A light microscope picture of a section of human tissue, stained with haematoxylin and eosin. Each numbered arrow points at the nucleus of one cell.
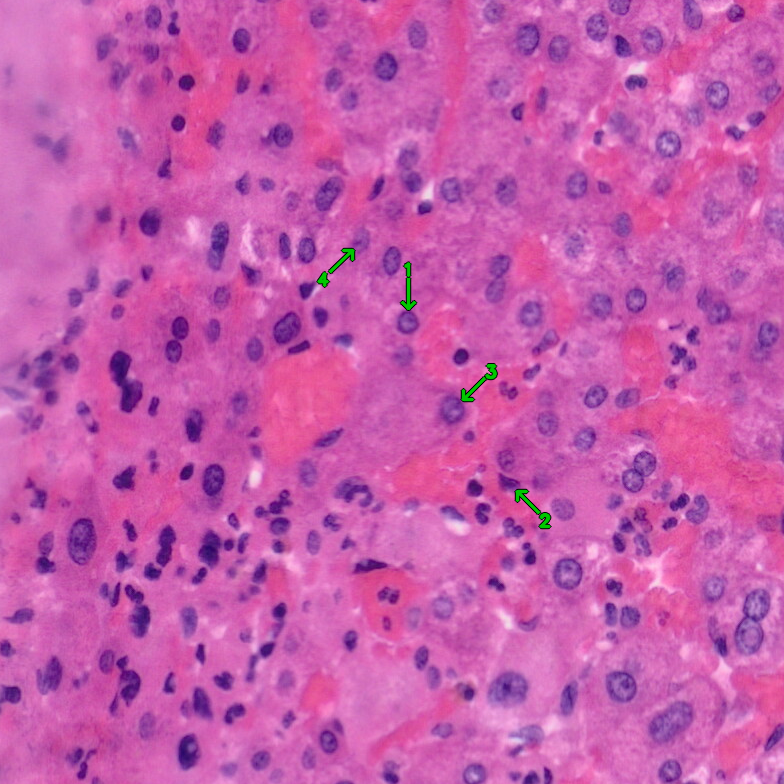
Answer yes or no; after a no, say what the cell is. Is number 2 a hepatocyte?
No, it is a fibroblast or stellate cell.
